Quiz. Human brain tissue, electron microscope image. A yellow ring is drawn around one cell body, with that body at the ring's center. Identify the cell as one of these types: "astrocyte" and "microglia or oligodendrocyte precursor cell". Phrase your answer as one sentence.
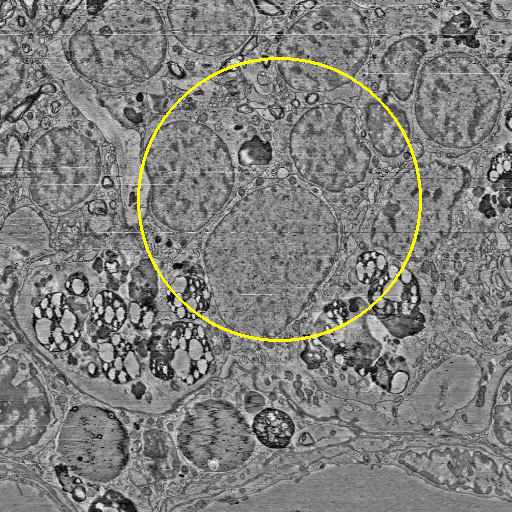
At the center of the ring sits an astrocyte.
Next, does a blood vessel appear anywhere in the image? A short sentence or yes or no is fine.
Yes, the image shows a blood vessel.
